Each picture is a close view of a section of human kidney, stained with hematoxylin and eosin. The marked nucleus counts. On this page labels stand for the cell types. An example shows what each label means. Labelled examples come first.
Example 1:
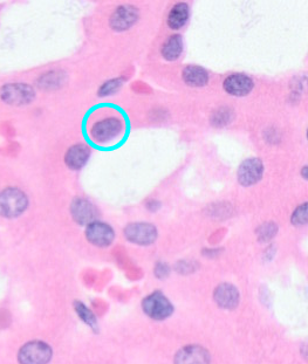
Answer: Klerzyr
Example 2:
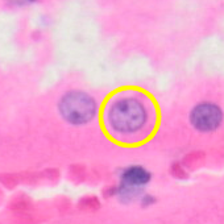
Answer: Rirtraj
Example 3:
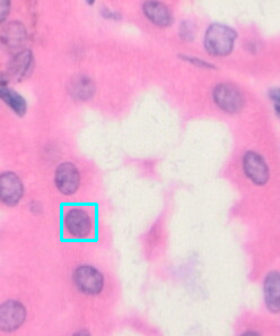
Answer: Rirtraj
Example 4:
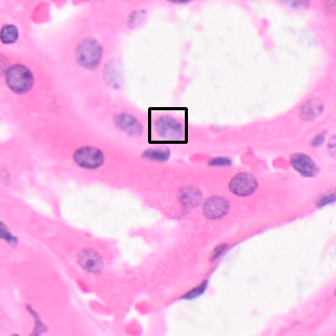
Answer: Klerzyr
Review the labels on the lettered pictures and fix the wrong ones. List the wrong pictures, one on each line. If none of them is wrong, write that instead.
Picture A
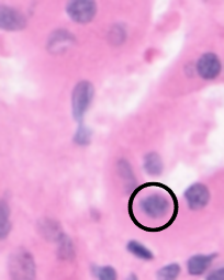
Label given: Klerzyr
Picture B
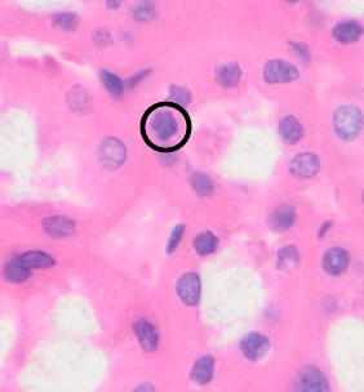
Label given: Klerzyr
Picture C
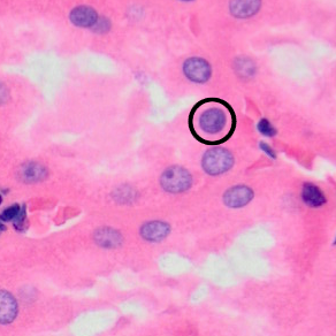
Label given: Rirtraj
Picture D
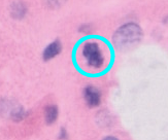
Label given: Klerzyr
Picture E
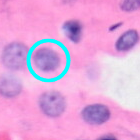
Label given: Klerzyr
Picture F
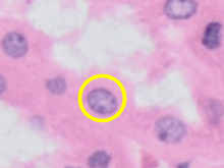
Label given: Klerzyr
F is labelled Klerzyr; correct label: Rirtraj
